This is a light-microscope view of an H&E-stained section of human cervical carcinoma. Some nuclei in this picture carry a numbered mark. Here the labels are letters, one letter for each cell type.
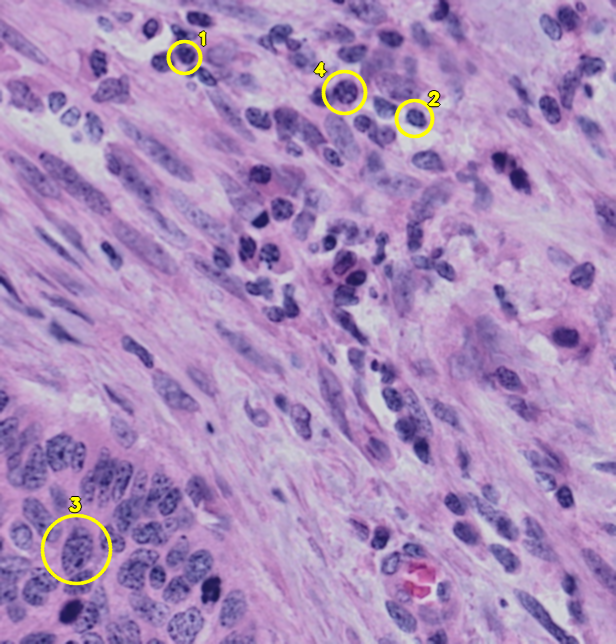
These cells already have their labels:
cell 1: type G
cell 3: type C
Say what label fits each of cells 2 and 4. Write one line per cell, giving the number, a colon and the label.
2: type G
4: type G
